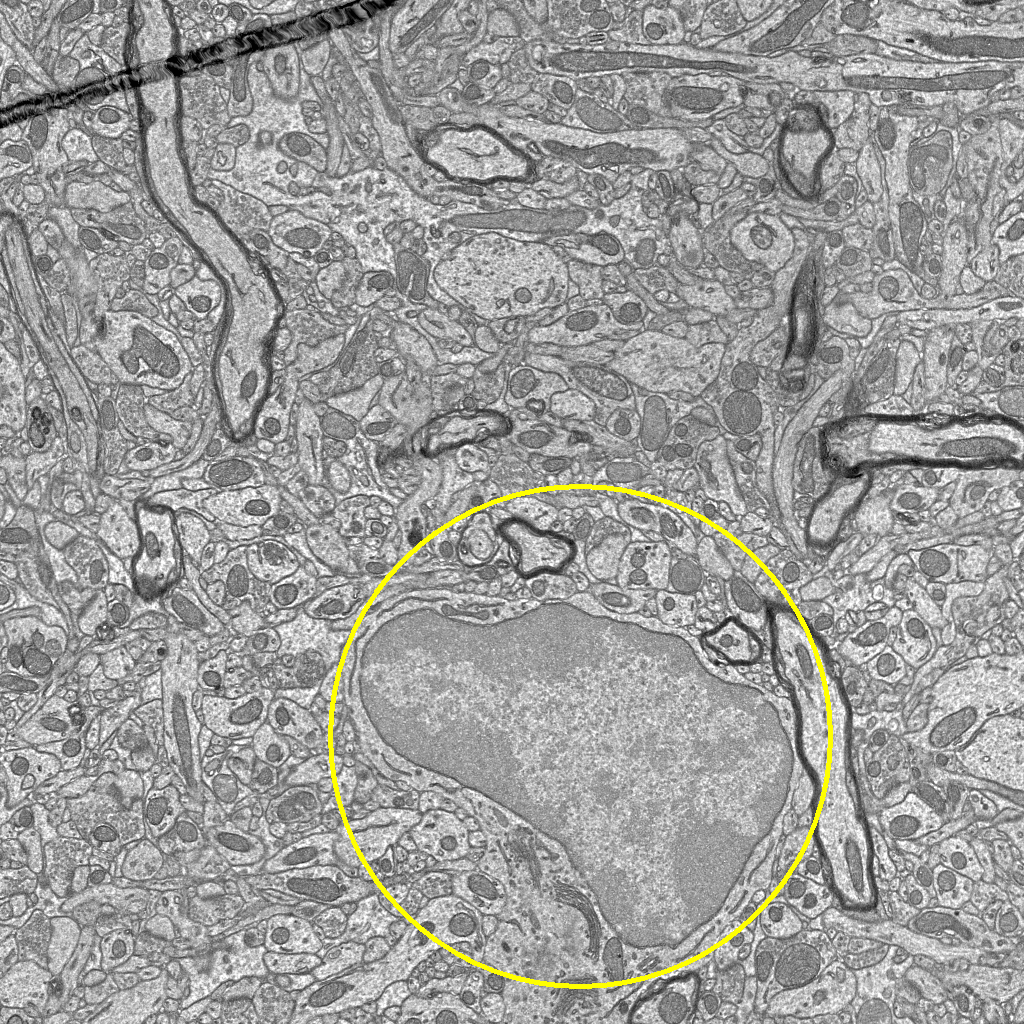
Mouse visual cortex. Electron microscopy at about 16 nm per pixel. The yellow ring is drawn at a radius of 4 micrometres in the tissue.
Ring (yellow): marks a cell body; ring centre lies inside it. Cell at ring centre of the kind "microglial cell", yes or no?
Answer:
yes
